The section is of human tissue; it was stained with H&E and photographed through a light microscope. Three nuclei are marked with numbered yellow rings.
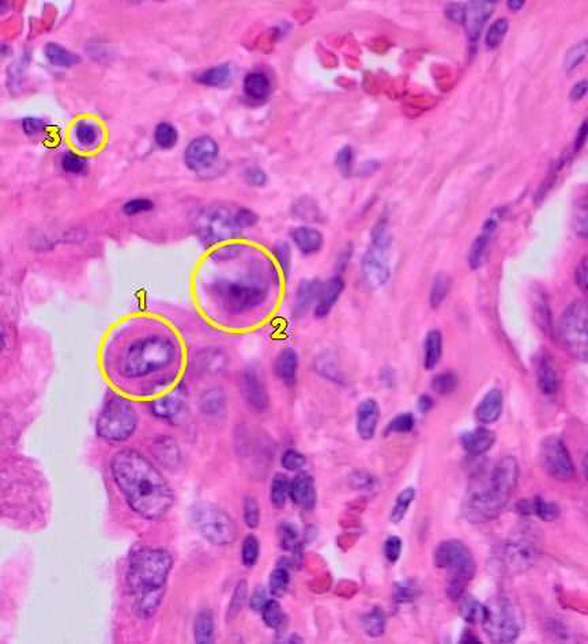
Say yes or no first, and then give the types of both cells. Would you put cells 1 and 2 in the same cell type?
Yes, cells 1 and 2 are of one type, both being carcinoma cells.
